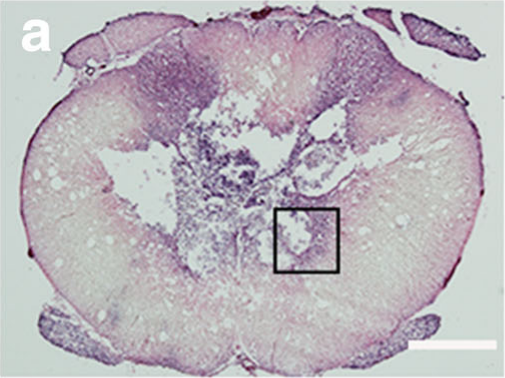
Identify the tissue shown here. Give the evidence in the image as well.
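A round cross-section with a paler pink outer rim and a darker central region. Small nerve roots lie beside the section at its edges.
Answer: spinal cords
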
